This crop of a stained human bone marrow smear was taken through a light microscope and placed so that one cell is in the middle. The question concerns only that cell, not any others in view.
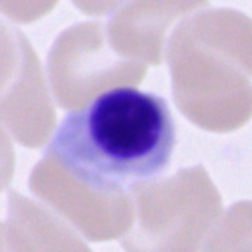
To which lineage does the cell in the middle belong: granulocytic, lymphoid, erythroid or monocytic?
erythroid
